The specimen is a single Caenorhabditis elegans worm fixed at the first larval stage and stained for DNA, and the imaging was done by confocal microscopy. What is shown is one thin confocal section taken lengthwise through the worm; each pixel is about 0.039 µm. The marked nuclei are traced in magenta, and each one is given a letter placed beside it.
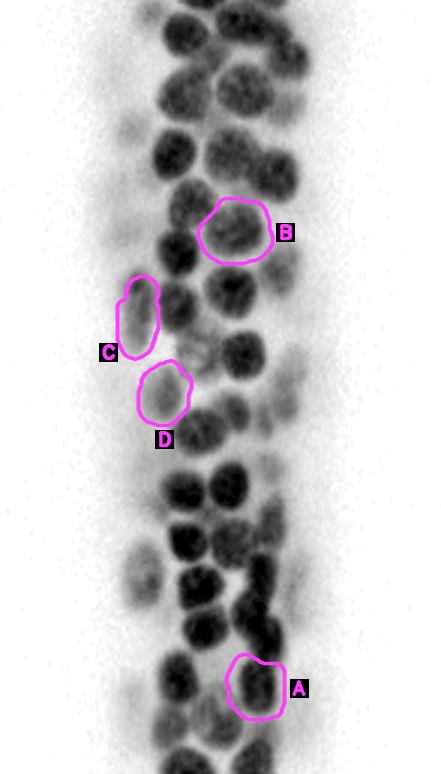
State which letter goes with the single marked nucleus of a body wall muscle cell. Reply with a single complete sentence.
The one from a body wall muscle cell is C.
